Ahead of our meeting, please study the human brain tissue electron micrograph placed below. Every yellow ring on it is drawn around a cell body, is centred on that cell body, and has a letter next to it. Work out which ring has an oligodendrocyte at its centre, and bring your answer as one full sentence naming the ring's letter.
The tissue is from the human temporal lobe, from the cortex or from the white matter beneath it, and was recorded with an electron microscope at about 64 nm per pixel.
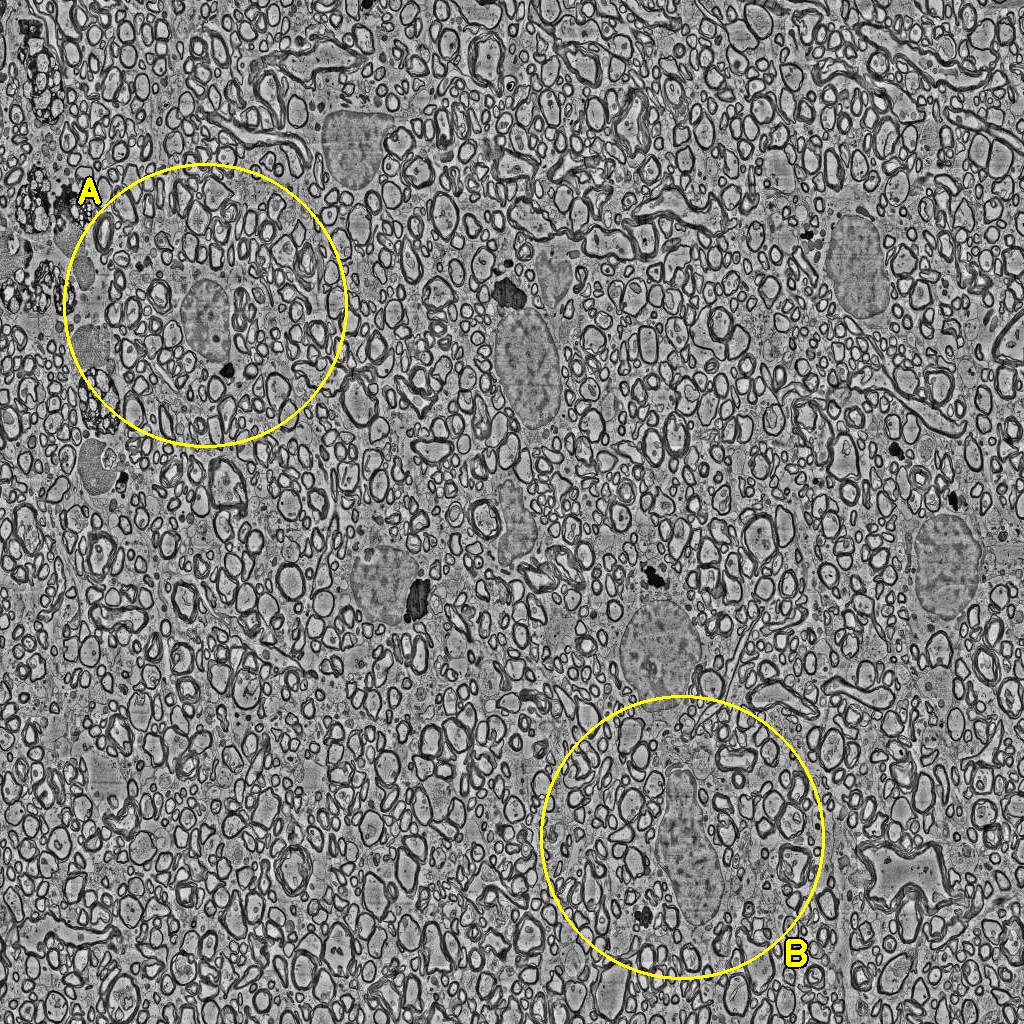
In the micrograph, ring A is the one centred on the cell I was asked to find.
